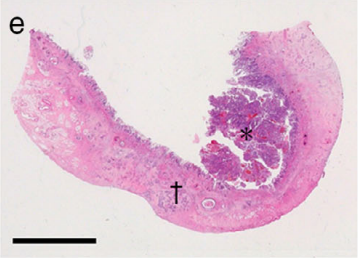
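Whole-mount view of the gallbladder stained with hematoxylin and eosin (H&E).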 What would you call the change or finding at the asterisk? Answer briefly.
Intracholecystic papillary neoplasm.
